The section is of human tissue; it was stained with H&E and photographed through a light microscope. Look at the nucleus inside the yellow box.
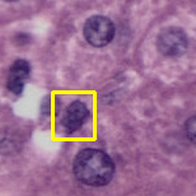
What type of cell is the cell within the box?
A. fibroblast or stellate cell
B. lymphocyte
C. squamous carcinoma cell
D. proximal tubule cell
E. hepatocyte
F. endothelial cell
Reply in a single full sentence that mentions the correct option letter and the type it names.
It is option A that correctly calls the cell within the box a fibroblast or stellate cell.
